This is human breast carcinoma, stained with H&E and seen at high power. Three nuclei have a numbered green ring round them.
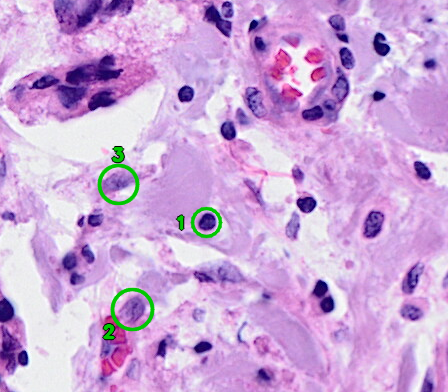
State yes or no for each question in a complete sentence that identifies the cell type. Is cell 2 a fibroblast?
No, that is wrong: cell 2 is an endothelial cell, and not a fibroblast.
